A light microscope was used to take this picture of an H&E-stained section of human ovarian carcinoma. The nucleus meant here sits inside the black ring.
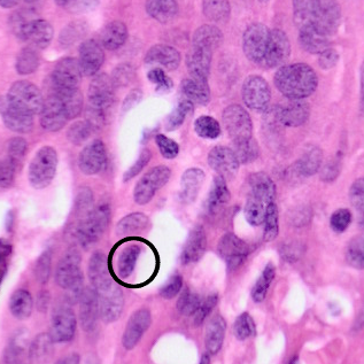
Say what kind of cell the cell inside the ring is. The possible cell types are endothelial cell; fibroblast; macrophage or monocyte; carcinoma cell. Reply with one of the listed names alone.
macrophage or monocyte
